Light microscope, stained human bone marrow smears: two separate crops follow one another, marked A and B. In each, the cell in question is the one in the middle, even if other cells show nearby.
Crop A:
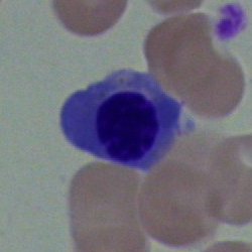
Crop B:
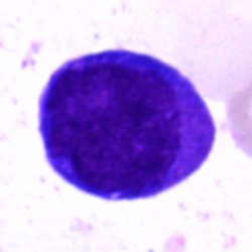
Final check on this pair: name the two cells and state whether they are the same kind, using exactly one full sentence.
No, the cell in crop A is a normoblast and the one in crop B is a blast.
